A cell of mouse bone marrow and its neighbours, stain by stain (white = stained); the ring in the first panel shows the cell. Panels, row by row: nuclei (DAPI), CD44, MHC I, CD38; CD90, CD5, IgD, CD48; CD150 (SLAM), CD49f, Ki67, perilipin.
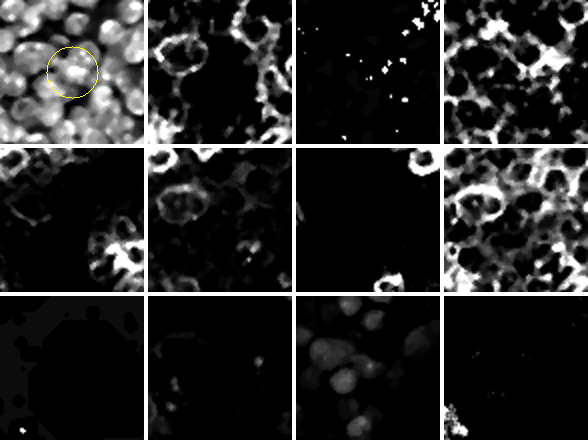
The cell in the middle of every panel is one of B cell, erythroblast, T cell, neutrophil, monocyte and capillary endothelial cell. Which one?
erythroblast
